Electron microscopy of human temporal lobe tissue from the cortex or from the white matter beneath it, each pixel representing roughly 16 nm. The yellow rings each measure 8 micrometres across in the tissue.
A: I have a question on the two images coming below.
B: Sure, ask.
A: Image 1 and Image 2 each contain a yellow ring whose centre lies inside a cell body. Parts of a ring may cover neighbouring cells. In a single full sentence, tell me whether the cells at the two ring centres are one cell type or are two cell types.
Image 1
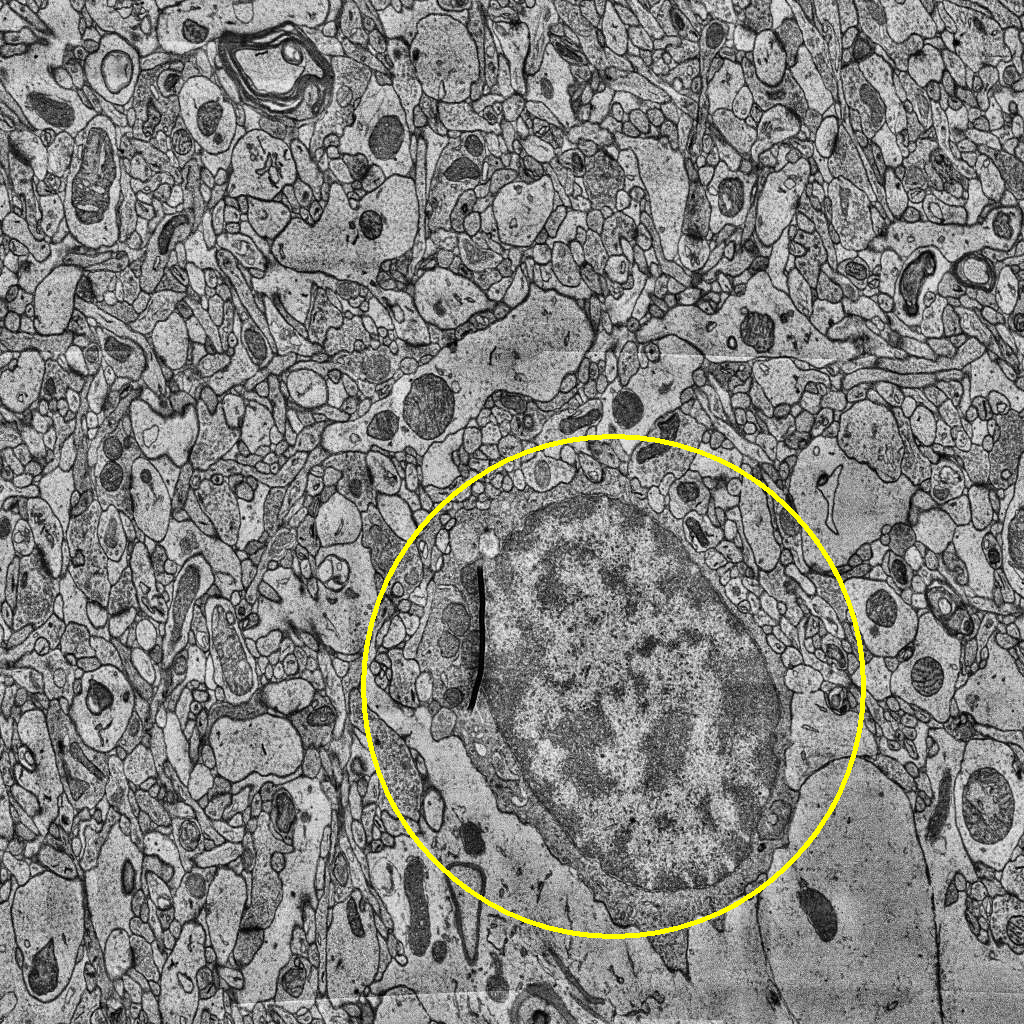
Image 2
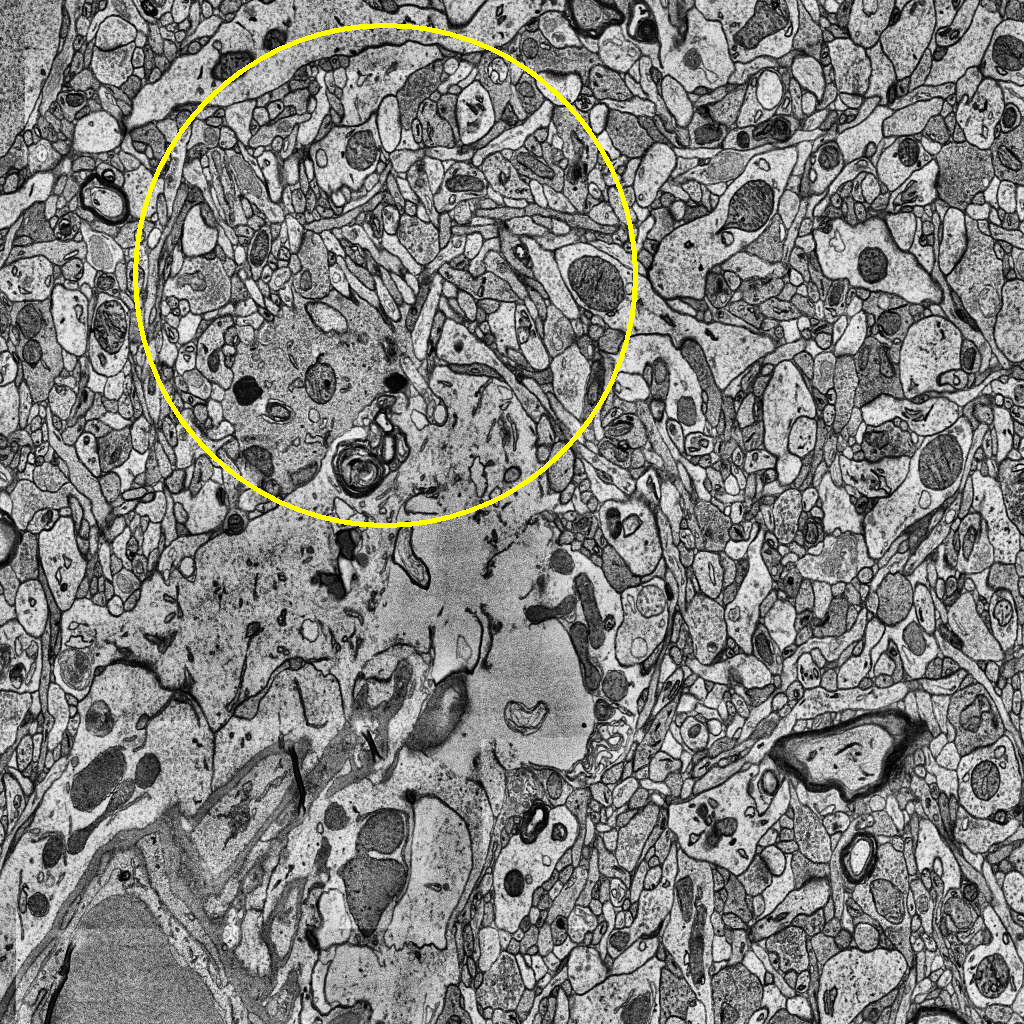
As for the ring-centre cells, the one in Image 1 and the one in Image 2 are one cell type.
